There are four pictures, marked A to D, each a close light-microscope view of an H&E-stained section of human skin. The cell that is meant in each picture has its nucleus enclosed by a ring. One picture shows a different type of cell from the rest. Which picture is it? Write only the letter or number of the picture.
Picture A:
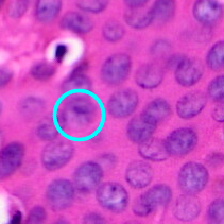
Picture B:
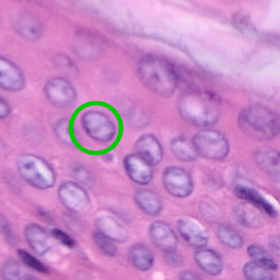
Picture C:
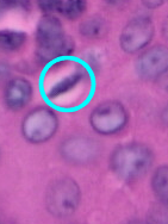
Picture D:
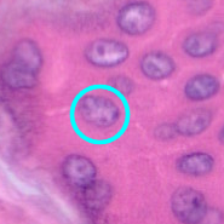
C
